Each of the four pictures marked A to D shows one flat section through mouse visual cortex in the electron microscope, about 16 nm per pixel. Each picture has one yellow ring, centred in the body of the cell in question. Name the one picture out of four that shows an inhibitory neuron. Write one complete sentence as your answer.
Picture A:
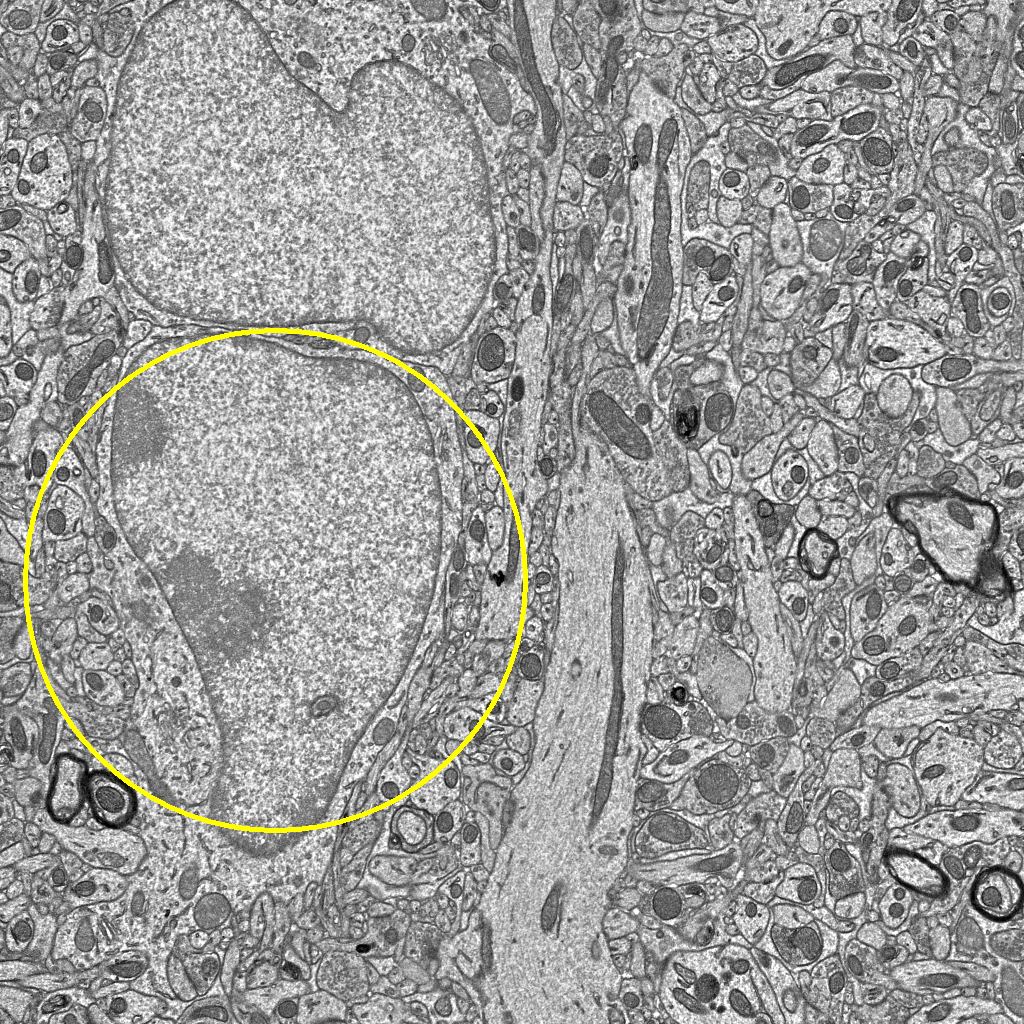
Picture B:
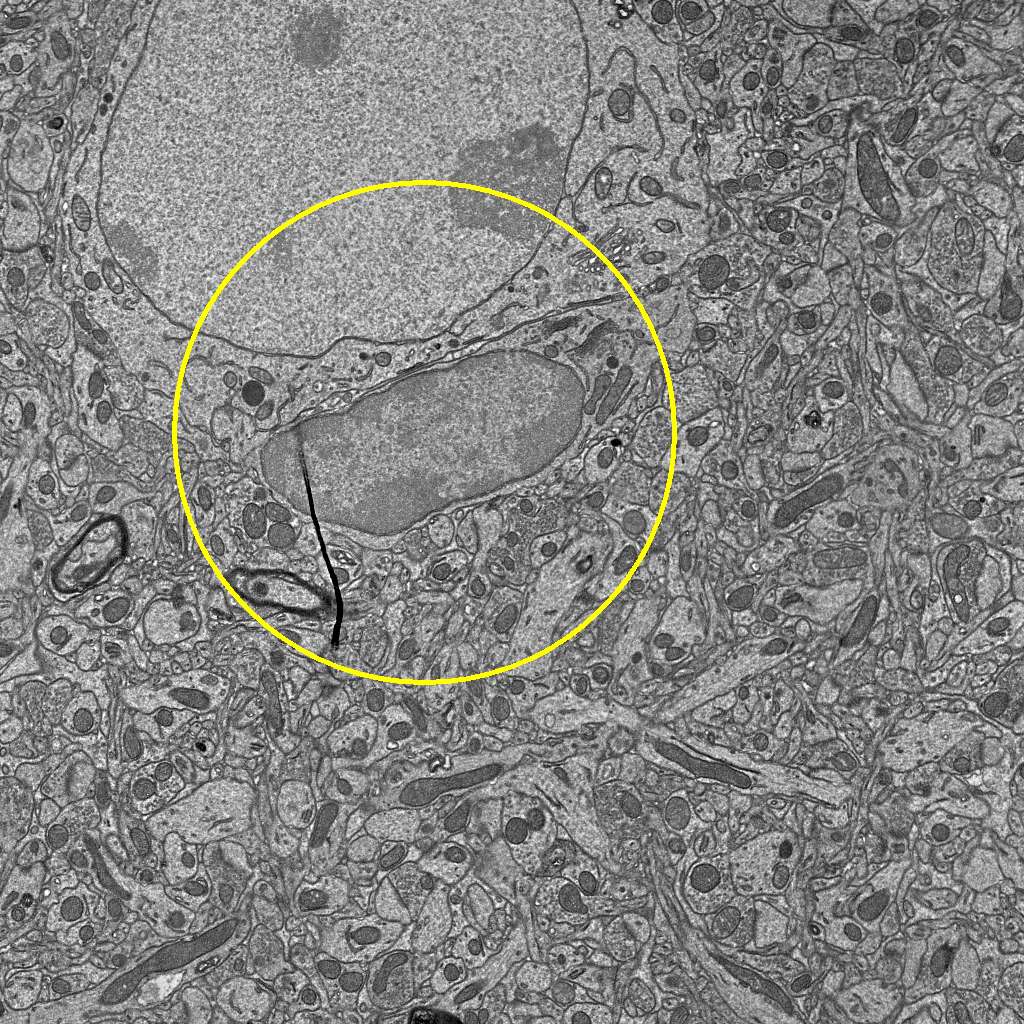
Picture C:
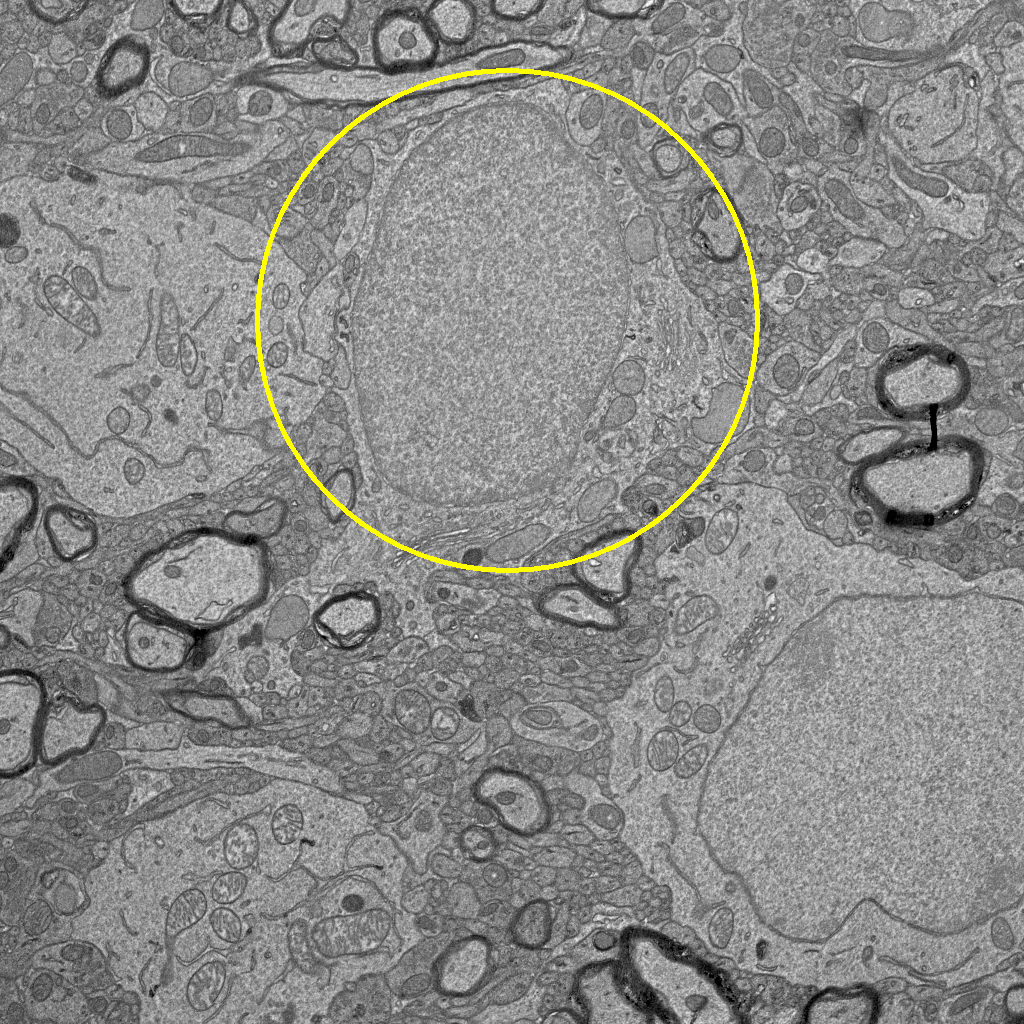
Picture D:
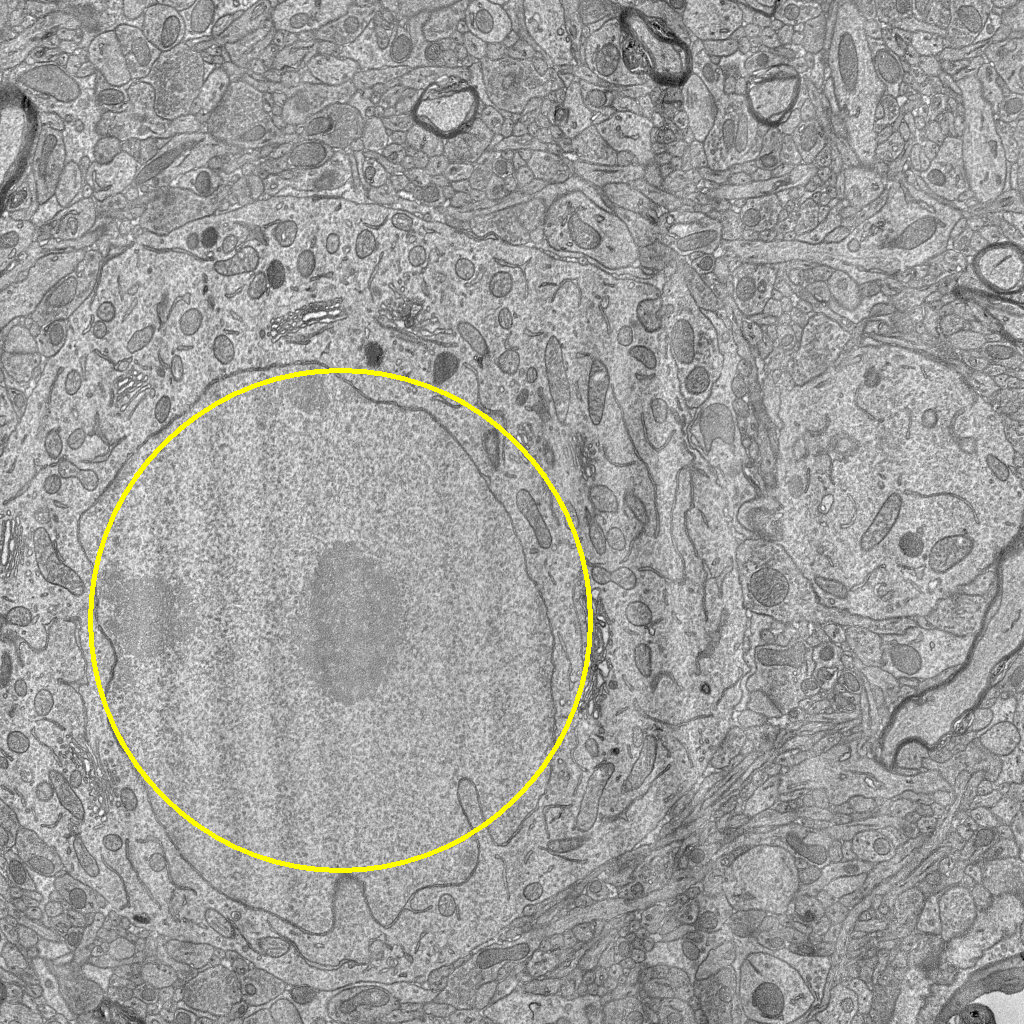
The inhibitory neuron is the one in picture D.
